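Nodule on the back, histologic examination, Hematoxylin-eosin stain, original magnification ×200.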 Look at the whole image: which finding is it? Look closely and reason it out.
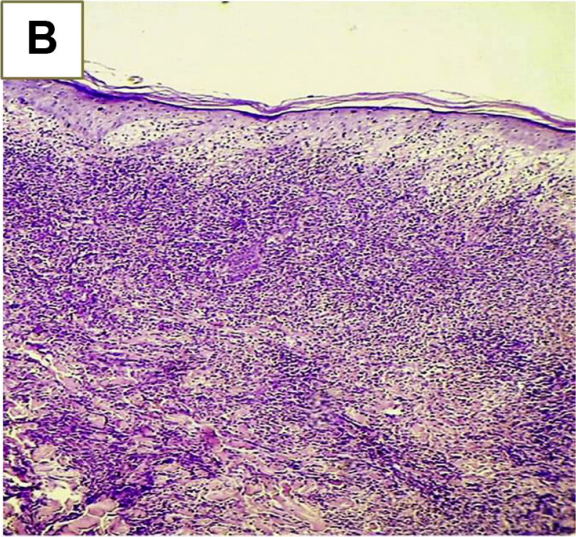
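Atypical lymphoid infiltrate. A dense sheet of small dark-blue nuclei fills the dermis beneath the epidermis. The infiltrate extends through the full depth of the dermis in the panel.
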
